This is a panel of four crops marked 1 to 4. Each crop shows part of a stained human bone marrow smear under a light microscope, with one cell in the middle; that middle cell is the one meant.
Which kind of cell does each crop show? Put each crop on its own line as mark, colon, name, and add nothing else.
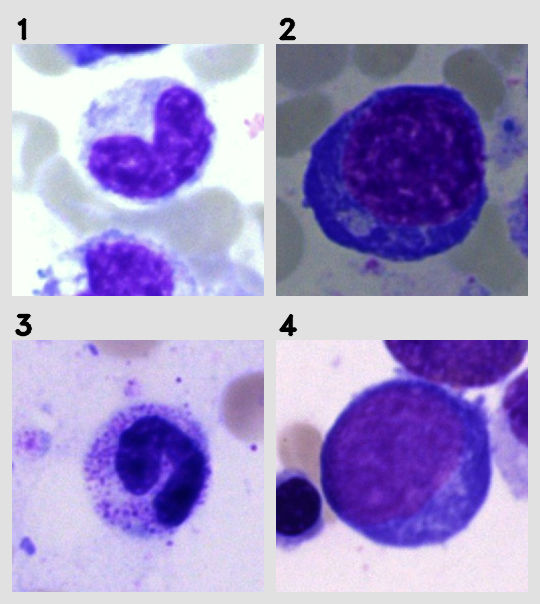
1: band neutrophil
2: proerythroblast
3: band neutrophil
4: proerythroblast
